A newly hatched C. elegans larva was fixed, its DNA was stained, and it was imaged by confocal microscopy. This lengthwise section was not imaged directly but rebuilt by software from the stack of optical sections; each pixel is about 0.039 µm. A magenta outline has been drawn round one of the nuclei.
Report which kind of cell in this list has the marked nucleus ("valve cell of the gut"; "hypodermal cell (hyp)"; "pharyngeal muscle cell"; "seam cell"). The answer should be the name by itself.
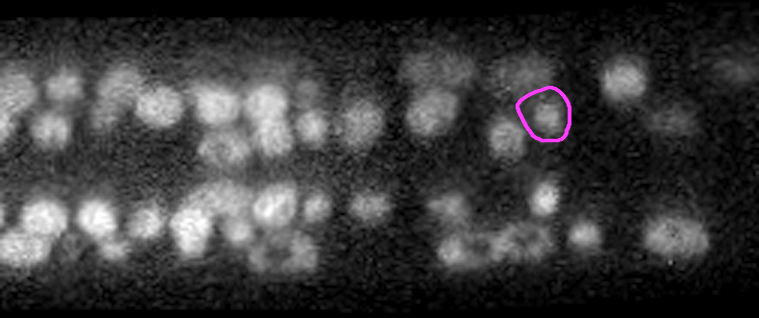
valve cell of the gut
